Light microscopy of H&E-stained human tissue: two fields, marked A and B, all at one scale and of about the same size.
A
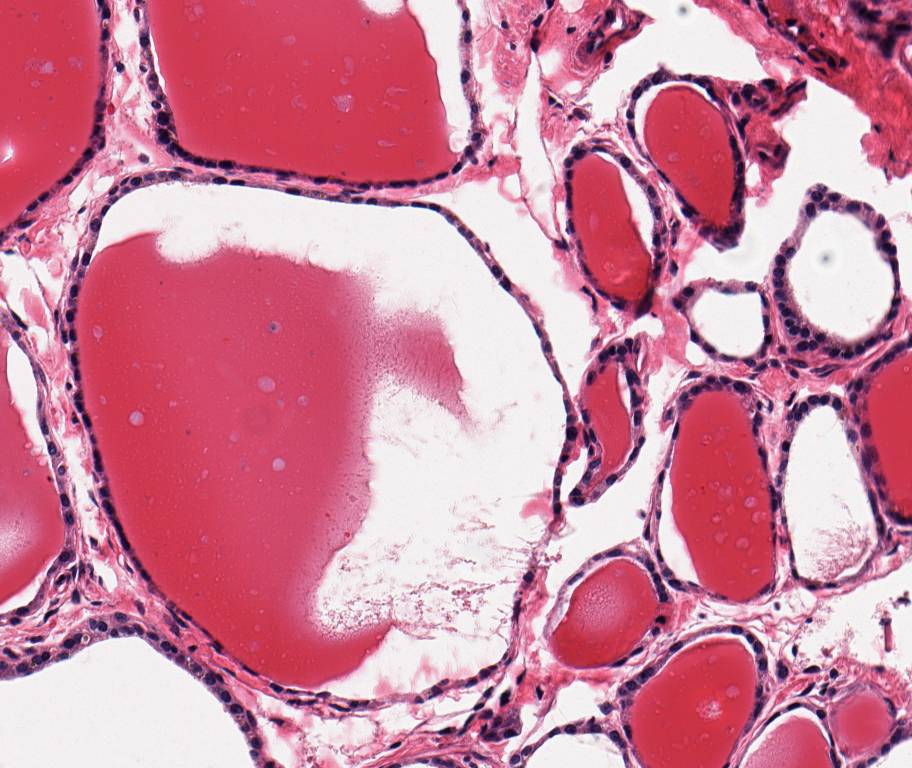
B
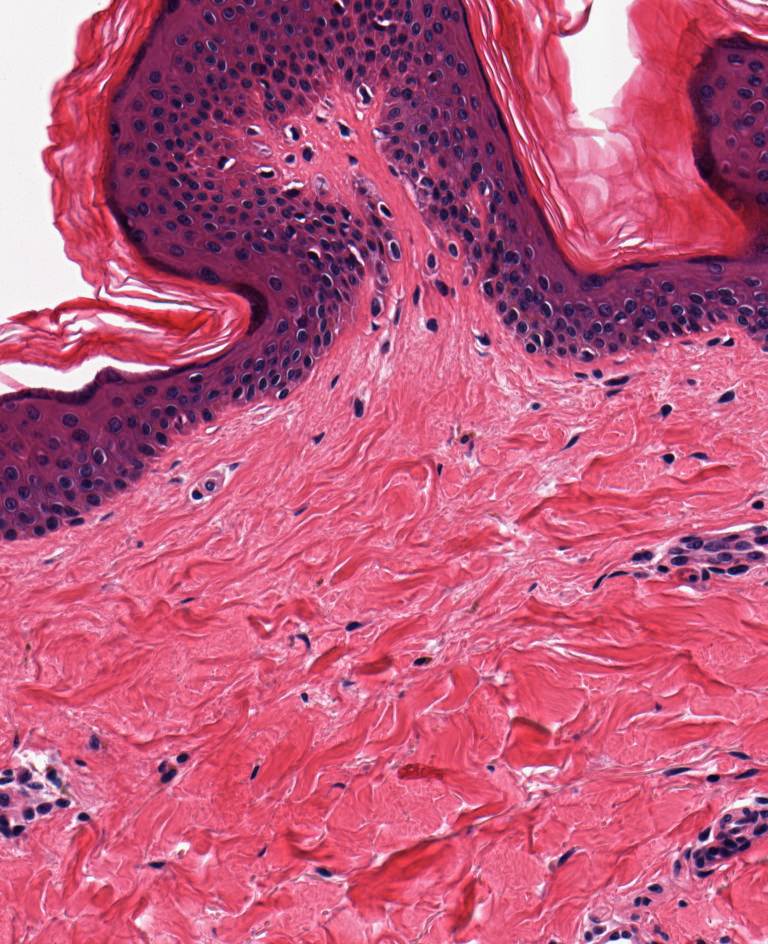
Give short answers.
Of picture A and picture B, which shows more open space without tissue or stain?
A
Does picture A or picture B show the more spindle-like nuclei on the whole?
A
